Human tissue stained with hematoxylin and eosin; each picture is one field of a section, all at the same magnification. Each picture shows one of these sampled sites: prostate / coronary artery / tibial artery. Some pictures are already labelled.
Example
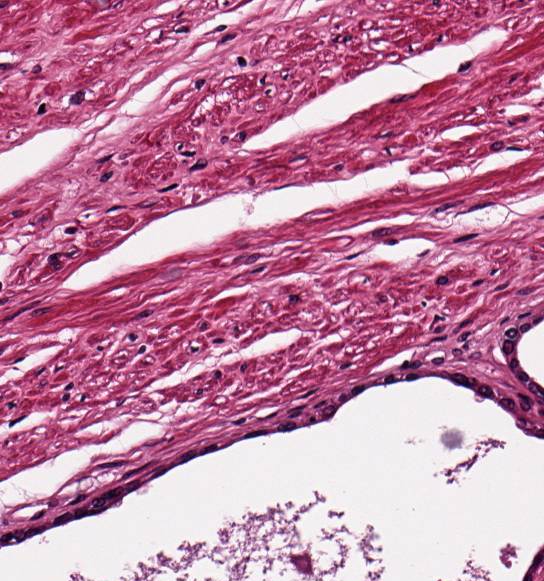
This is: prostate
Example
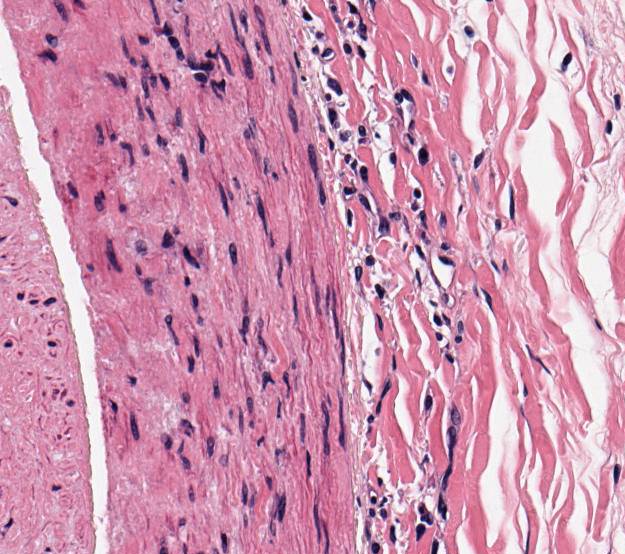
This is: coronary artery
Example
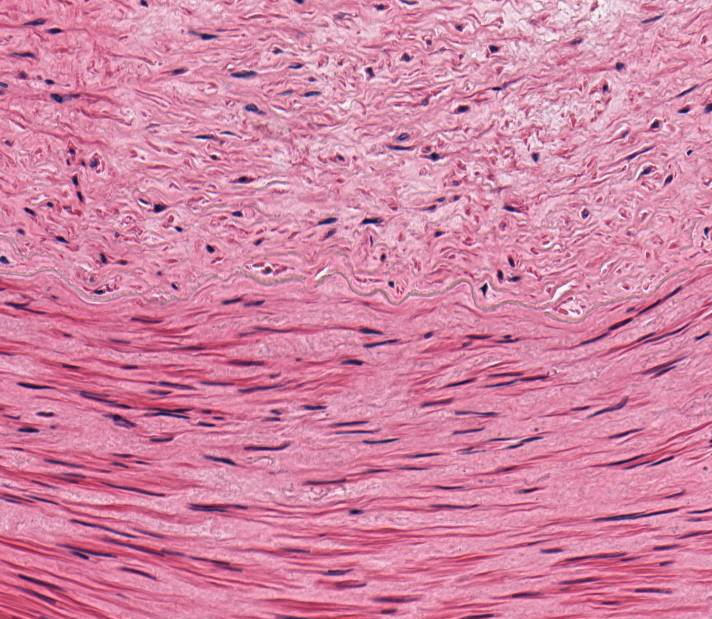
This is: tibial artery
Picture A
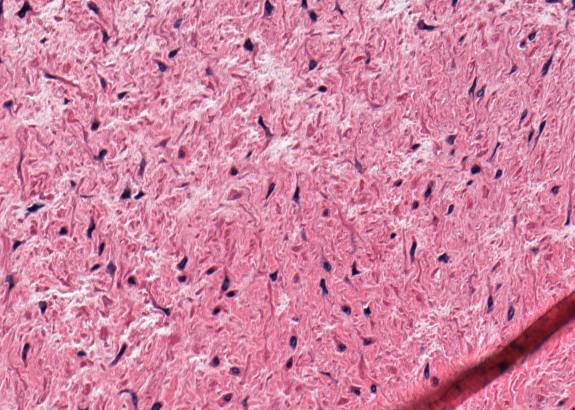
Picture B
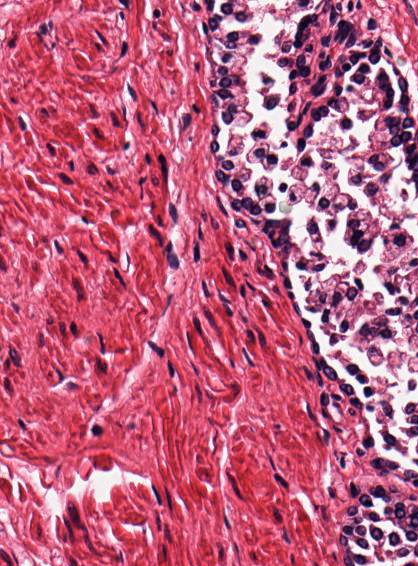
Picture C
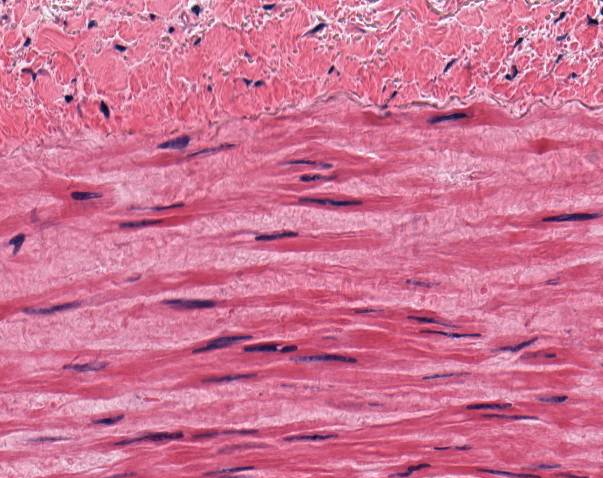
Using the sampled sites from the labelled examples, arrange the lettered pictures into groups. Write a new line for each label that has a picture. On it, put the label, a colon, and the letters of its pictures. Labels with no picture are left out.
prostate: B
coronary artery: A
tibial artery: C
